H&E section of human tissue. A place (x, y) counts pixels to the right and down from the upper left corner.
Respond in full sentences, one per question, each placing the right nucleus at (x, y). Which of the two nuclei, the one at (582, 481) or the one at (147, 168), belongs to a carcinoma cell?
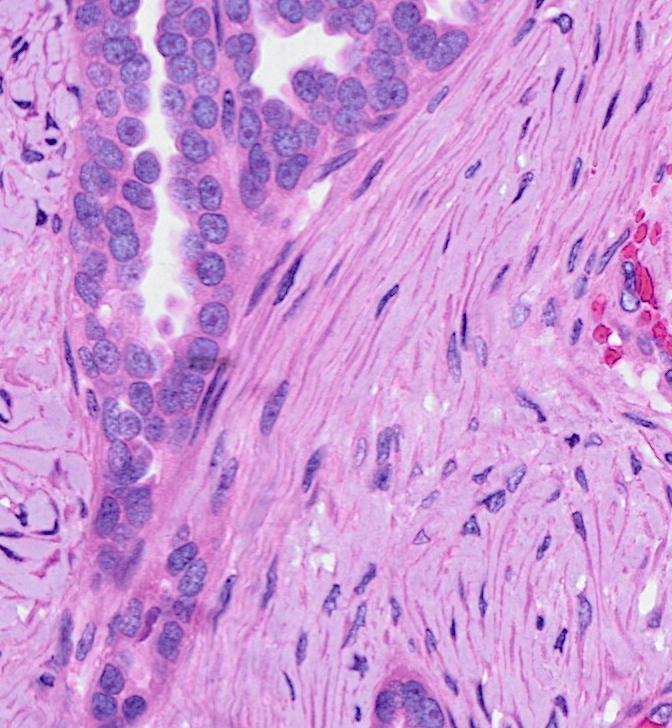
It is the nucleus at (147, 168) that forms part of a carcinoma cell.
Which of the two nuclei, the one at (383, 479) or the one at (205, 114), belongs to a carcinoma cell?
The nucleus at (205, 114) is housed in a carcinoma cell.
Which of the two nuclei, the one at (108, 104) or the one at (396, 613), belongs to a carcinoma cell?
The nucleus at (108, 104) is part of a carcinoma cell, while the other is not.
